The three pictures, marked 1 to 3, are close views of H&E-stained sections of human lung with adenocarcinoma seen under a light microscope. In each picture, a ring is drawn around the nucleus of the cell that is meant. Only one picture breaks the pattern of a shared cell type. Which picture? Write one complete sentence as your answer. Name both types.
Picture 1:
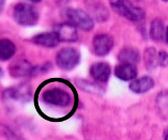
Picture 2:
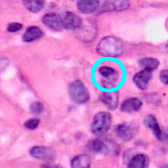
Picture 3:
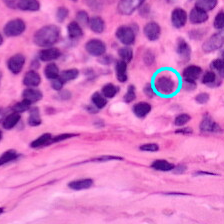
Picture 1 differs, because its cell is a plasma cell and the rest are lymphocytes.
